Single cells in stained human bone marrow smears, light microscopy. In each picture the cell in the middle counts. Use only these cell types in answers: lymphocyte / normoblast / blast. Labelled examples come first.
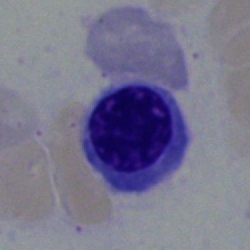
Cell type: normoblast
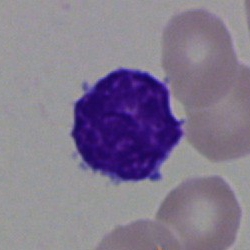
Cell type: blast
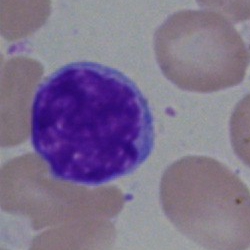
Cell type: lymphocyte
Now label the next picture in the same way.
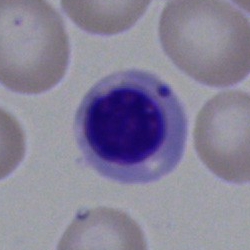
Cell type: normoblast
